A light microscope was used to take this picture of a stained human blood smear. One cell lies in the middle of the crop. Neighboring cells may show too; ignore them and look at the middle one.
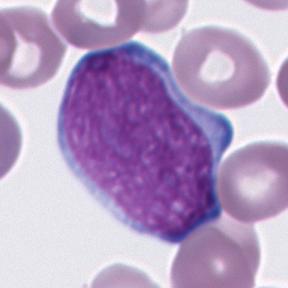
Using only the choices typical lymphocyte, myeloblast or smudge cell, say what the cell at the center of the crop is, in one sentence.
The cell positioned in the middle of the field is a myeloblast.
